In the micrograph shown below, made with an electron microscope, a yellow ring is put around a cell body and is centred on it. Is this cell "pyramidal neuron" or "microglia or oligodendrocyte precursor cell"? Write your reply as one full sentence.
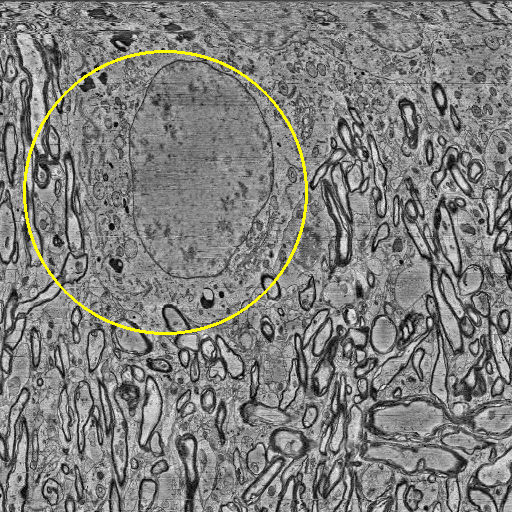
In the micrograph, a pyramidal neuron is the cell at the centre of the yellow ring.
